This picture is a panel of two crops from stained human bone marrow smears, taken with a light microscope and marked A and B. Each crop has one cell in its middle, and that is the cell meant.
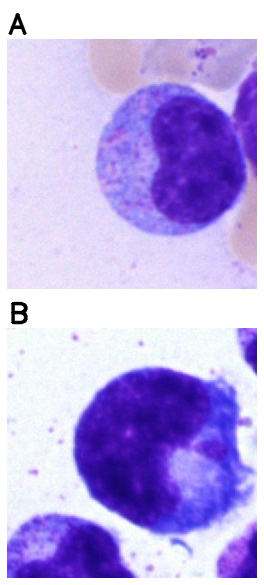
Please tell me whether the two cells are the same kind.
no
